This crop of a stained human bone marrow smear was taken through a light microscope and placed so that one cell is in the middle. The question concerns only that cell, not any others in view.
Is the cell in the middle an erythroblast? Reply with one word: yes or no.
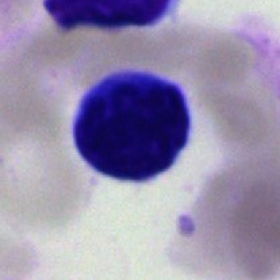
no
